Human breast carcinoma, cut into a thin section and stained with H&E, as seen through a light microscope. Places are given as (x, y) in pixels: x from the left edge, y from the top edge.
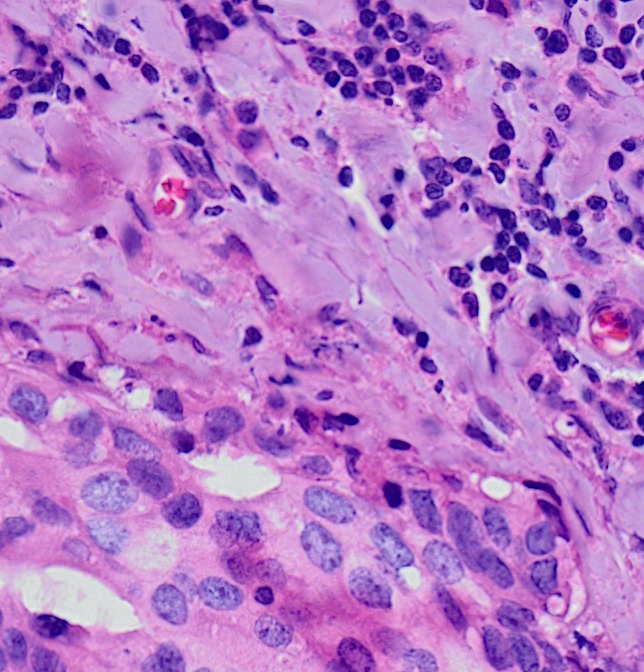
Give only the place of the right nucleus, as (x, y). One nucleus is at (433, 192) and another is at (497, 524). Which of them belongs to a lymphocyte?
(433, 192)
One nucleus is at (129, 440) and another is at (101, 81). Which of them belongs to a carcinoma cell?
(129, 440)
